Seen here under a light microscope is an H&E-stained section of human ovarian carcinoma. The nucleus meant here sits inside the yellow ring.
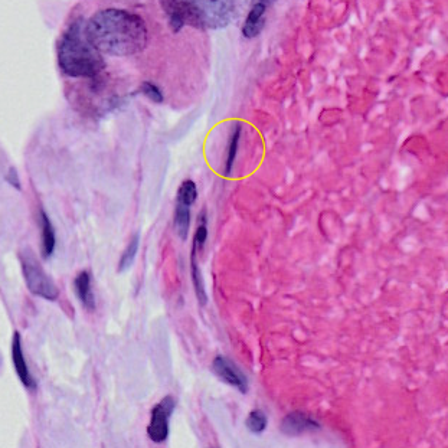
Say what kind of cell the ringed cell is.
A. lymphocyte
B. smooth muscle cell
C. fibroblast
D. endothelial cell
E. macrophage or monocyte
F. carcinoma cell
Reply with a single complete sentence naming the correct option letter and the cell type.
Option D describes the ringed cell accurately as an endothelial cell.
